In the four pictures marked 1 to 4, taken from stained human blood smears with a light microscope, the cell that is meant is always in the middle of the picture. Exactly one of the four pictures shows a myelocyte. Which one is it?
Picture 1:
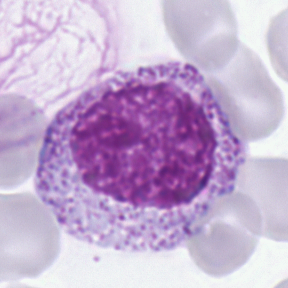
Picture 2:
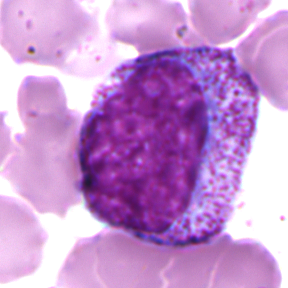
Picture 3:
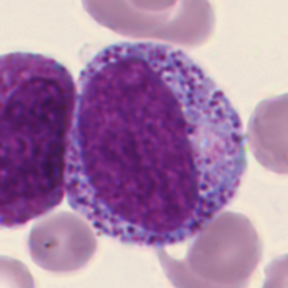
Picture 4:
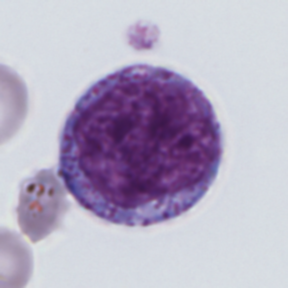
1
